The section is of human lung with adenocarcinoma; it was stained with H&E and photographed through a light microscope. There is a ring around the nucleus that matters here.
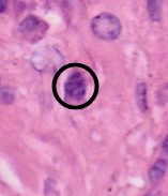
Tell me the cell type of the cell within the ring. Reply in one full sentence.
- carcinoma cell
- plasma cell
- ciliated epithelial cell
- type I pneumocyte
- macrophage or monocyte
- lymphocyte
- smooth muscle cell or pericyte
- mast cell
In cellular terms, the cell within the ring is a plasma cell.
